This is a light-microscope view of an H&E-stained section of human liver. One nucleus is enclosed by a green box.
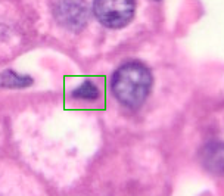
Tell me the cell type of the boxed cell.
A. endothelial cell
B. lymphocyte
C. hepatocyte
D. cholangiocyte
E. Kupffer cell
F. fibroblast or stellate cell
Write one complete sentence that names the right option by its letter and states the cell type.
The correct choice is option F; the boxed cell is a fibroblast or stellate cell.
